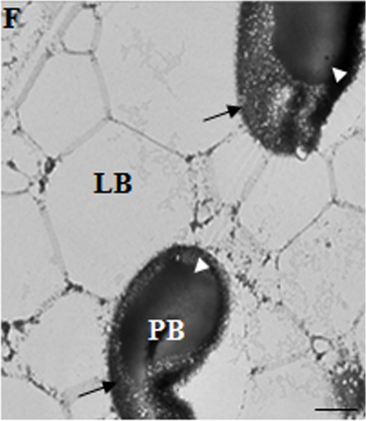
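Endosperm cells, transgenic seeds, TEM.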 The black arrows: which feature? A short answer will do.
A: lower dense matrix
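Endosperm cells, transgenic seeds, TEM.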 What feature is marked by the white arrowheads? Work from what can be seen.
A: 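The white arrowheads lie on dark, smooth regions inside the dense bodies.
Electron-dense structures.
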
